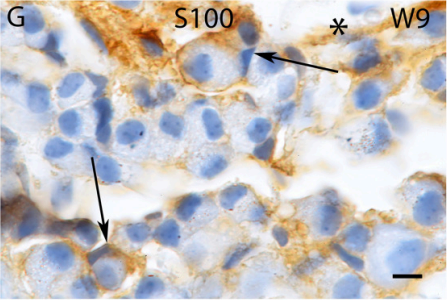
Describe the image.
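A ganglion at high magnification shows large rounded neuronal cell bodies with pale blue cytoplasm and round nuclei, packed closely together. Small flattened glial cells with dark elongated nuclei hug the surfaces of these cell bodies, their thin cytoplasm forming brown-stained rims, and a brown-stained band lies along the top edge.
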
